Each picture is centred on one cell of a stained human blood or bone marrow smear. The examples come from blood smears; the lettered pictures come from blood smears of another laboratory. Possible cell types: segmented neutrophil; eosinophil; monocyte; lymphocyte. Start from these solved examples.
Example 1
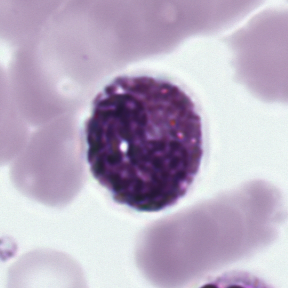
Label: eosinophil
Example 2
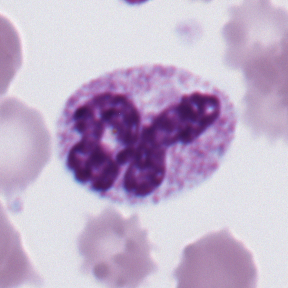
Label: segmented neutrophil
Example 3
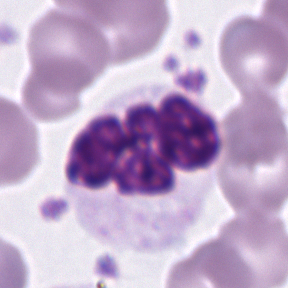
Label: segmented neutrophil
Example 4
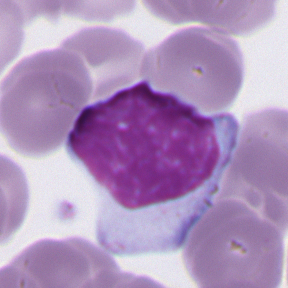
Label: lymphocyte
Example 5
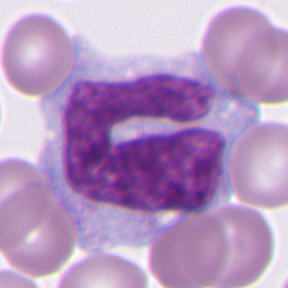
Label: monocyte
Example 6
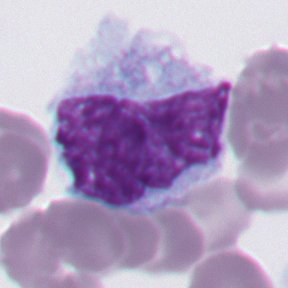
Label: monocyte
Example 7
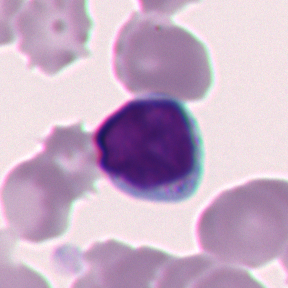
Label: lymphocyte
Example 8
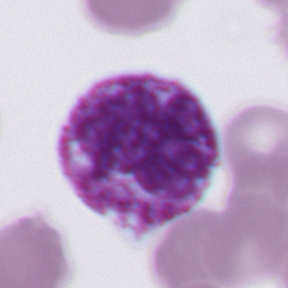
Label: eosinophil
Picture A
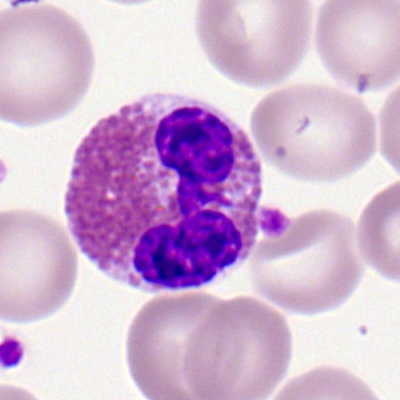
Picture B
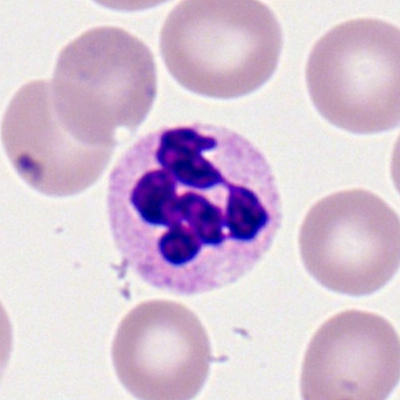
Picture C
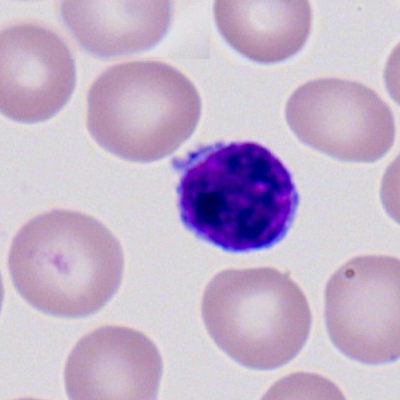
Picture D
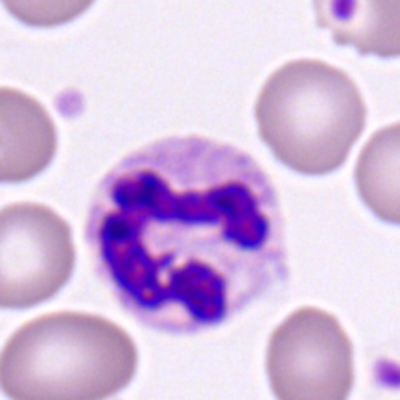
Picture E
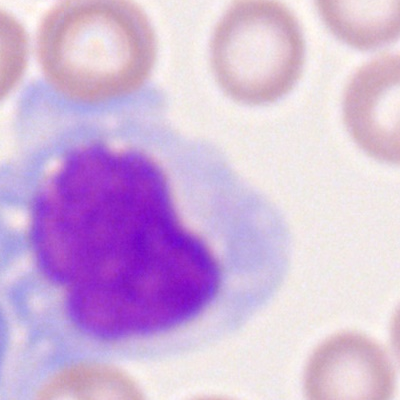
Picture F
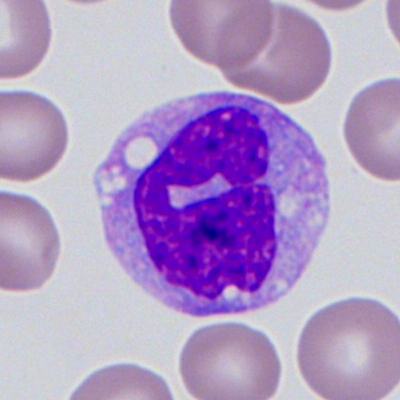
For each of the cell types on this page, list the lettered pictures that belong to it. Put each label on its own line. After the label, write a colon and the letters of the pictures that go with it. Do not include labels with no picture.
segmented neutrophil: B, D
eosinophil: A
monocyte: E, F
lymphocyte: C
